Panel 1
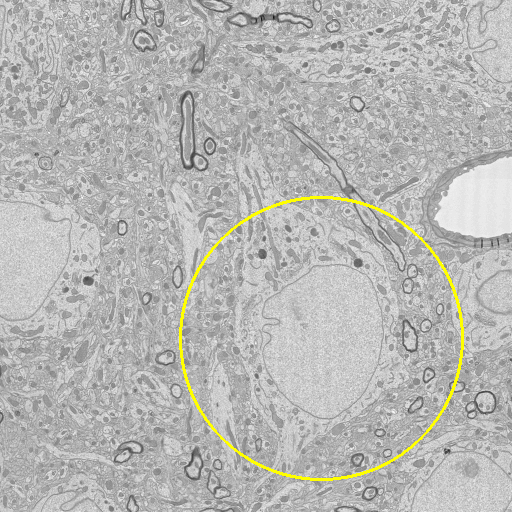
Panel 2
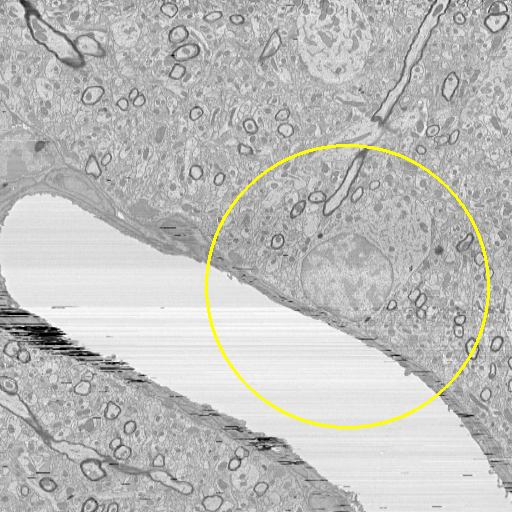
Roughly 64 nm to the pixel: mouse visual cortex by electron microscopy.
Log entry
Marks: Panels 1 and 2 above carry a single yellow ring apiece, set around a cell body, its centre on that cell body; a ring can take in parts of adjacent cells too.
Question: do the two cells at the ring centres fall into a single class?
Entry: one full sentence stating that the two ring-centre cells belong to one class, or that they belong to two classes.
The two ring-centre cells in Panels 1 and 2 belong to two classes.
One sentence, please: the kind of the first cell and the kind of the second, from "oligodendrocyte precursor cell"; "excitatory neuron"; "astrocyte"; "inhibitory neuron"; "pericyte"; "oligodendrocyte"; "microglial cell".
The ring in the first picture surrounds an excitatory neuron, and the ring in the second surrounds an oligodendrocyte.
